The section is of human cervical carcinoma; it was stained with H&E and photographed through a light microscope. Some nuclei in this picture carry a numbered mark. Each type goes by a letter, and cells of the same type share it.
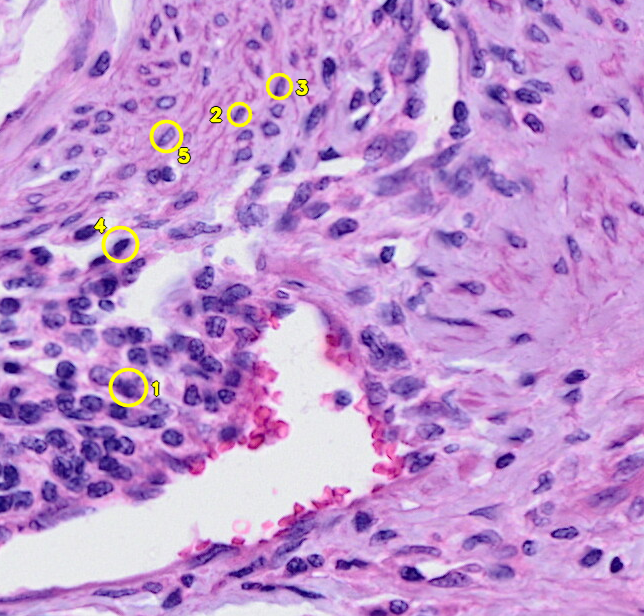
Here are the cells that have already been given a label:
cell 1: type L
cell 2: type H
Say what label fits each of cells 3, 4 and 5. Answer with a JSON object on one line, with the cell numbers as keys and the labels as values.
{"3": "type H", "4": "type L", "5": "type H"}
